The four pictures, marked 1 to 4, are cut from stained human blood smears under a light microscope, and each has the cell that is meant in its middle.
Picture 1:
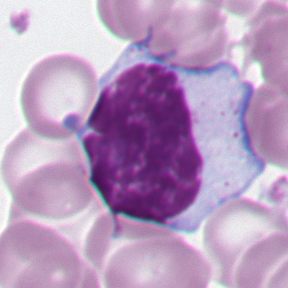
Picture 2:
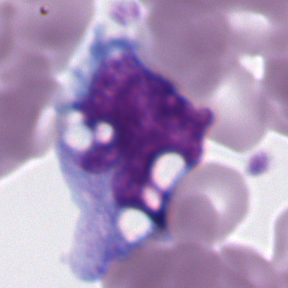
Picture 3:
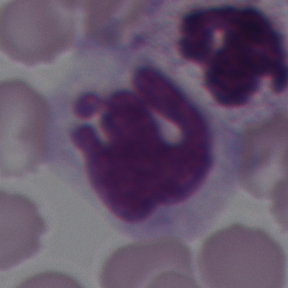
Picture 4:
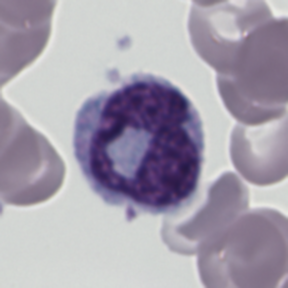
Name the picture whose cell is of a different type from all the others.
1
